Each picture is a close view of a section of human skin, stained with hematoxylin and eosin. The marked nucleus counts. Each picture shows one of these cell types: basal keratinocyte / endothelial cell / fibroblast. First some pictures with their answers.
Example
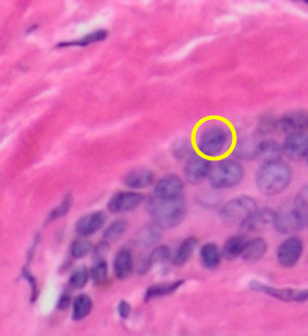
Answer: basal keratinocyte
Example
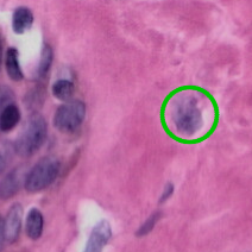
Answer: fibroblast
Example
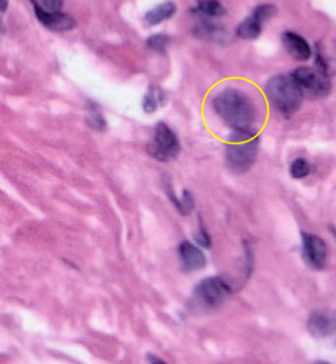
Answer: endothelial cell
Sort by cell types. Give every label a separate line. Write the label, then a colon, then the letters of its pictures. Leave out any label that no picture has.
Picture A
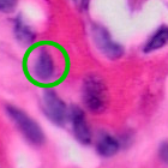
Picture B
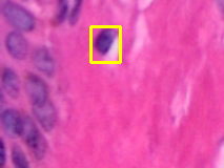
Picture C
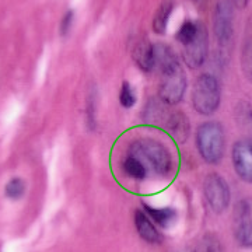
basal keratinocyte: C
endothelial cell: A
fibroblast: B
